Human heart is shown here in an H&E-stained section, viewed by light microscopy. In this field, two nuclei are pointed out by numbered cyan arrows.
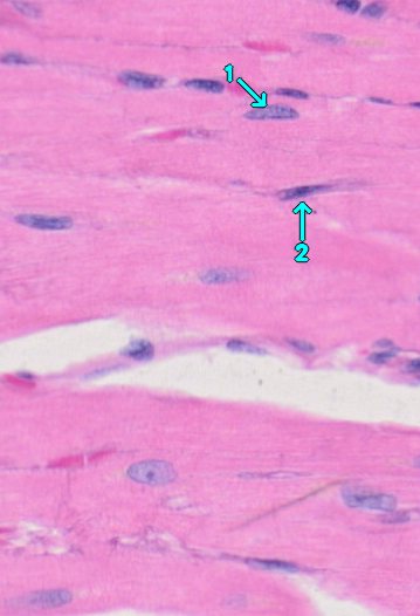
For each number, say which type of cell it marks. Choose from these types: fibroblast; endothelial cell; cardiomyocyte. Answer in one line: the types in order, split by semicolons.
cardiomyocyte; endothelial cell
